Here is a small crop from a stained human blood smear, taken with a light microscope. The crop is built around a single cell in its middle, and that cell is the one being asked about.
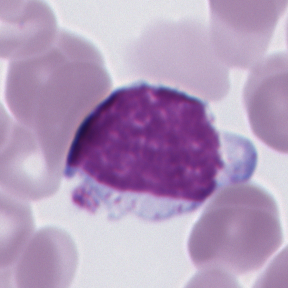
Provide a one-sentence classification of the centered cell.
The cell around which this crop is centred is a large granular lymphocyte.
